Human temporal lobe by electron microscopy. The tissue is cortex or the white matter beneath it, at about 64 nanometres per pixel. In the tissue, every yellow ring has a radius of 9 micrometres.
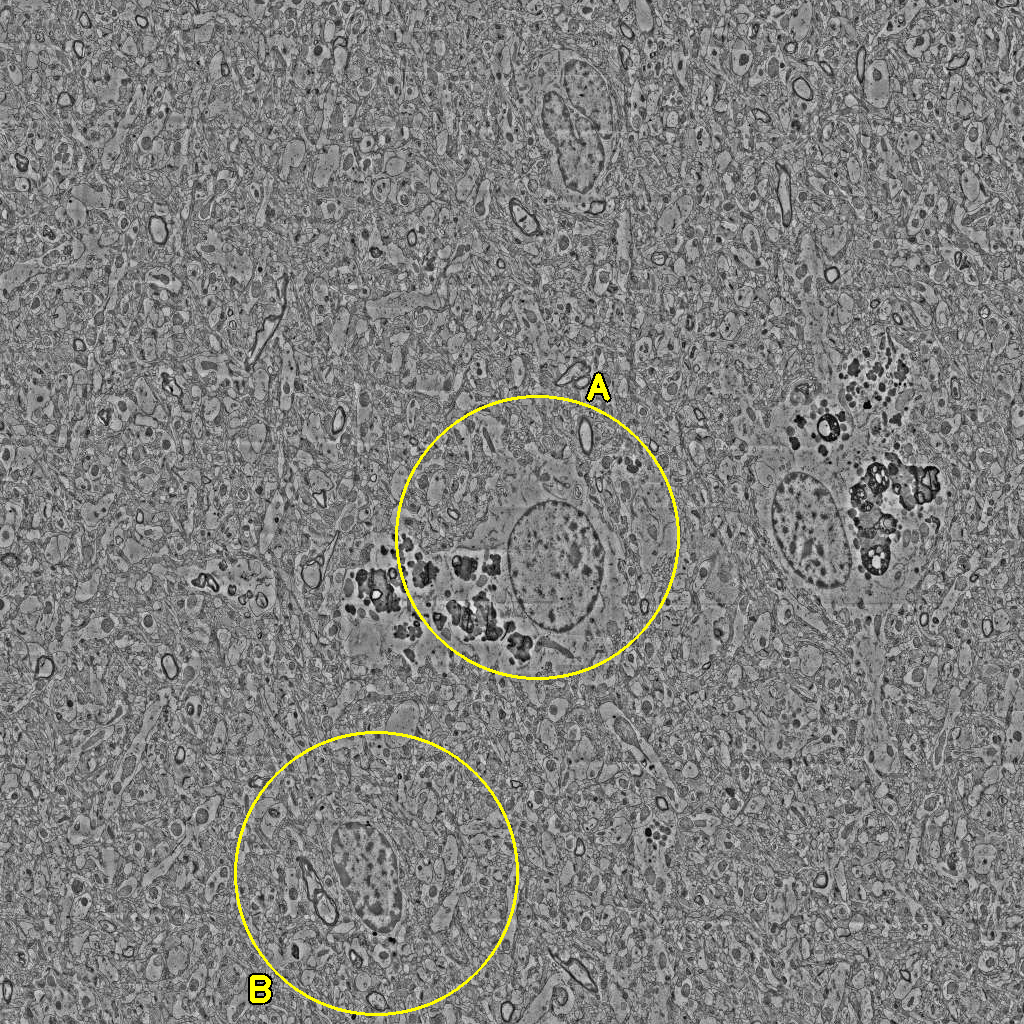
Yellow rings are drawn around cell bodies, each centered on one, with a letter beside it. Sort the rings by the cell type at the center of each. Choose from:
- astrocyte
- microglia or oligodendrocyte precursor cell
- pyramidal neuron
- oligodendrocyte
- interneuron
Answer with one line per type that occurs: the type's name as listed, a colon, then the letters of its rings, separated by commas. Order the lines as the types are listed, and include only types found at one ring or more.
astrocyte: A
microglia or oligodendrocyte precursor cell: B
